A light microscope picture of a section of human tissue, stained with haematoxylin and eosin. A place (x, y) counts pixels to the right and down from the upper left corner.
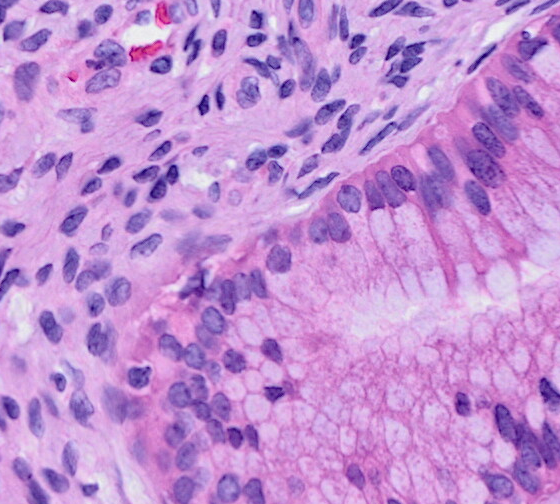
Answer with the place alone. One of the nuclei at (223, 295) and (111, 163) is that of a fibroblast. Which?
(111, 163)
